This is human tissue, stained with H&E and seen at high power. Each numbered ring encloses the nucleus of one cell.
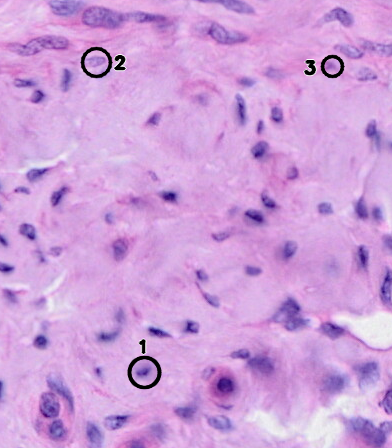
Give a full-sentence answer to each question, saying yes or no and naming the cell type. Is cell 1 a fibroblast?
Yes, regarding cell number 1, it is a fibroblast.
